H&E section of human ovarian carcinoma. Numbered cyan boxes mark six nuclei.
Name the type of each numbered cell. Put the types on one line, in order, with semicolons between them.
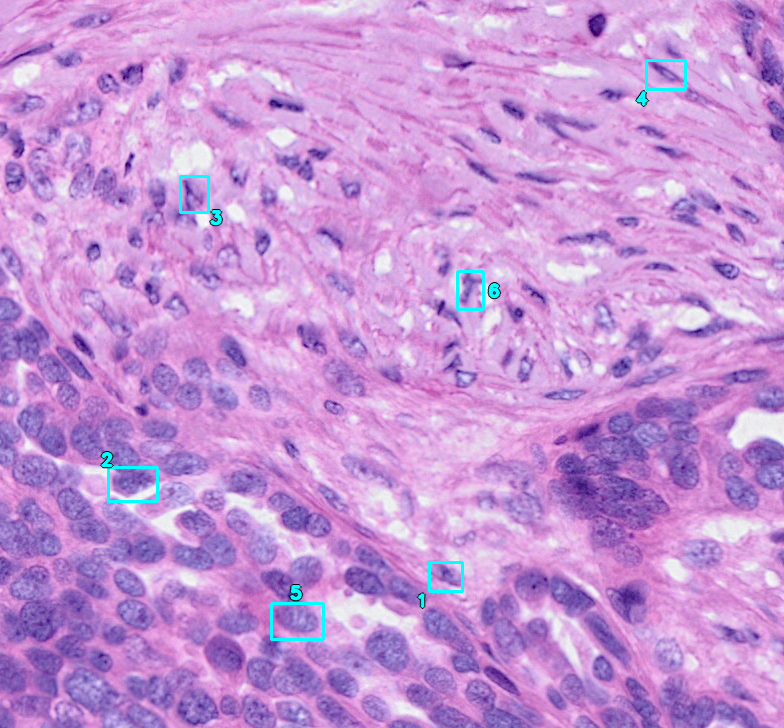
fibroblast; carcinoma cell; fibroblast; fibroblast; carcinoma cell; fibroblast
